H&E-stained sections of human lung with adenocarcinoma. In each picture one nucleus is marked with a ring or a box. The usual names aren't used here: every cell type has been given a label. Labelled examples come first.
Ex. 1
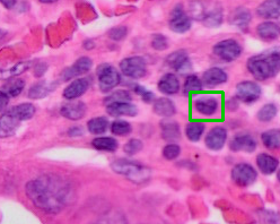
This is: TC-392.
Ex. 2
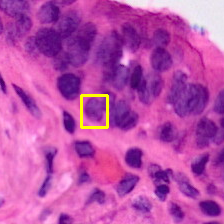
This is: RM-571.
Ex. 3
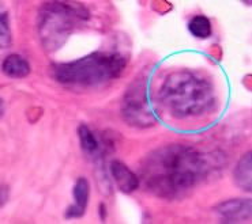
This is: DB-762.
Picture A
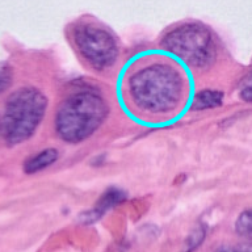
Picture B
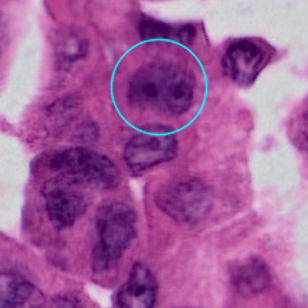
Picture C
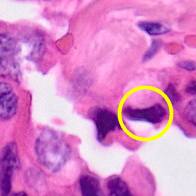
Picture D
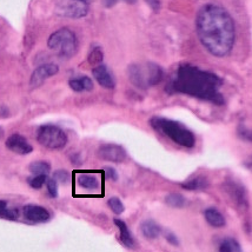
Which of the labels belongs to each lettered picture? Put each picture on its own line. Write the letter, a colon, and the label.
A: DB-762.
B: DB-762.
C: DB-762.
D: TC-392.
